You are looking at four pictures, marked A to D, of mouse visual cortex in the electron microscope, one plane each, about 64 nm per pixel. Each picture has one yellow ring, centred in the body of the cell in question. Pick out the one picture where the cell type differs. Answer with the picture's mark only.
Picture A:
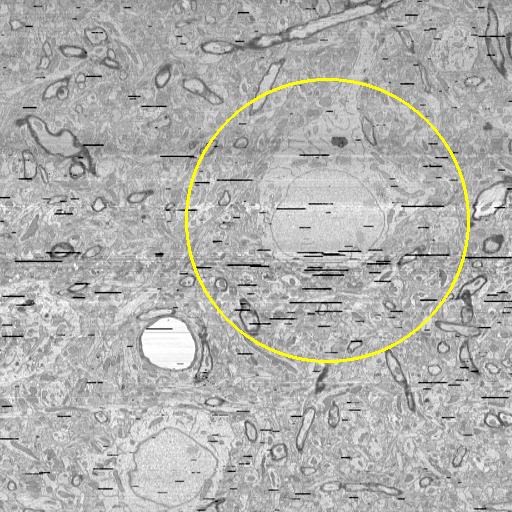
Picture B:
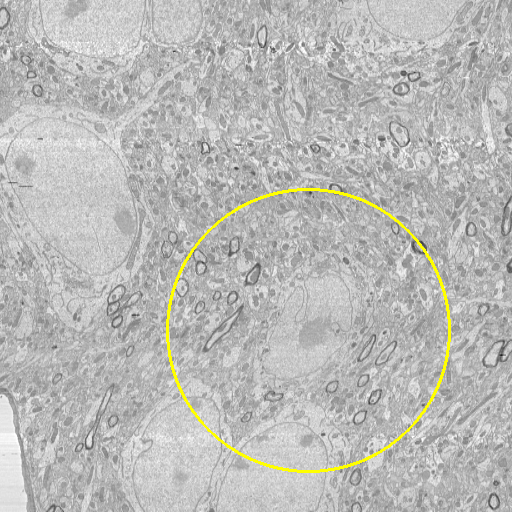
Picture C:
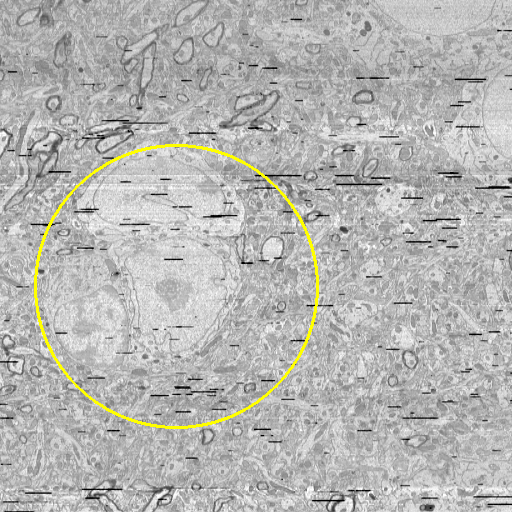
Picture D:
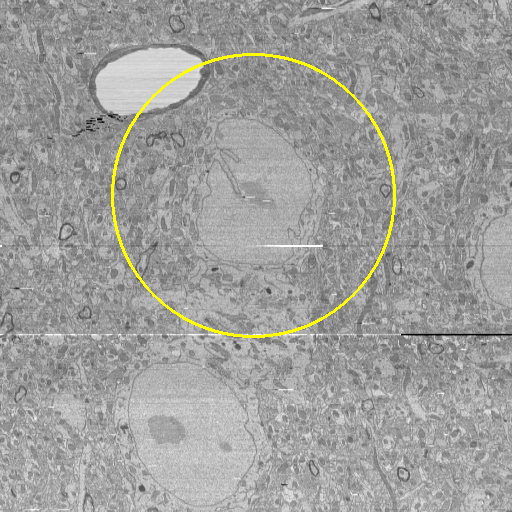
A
